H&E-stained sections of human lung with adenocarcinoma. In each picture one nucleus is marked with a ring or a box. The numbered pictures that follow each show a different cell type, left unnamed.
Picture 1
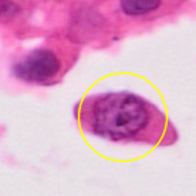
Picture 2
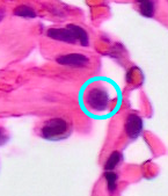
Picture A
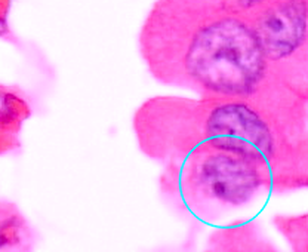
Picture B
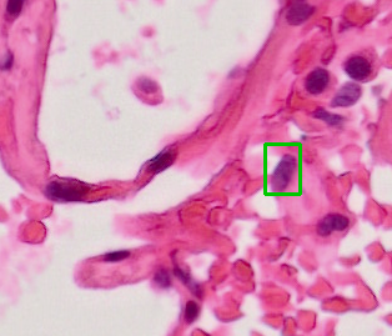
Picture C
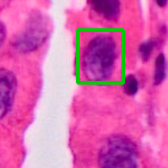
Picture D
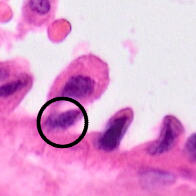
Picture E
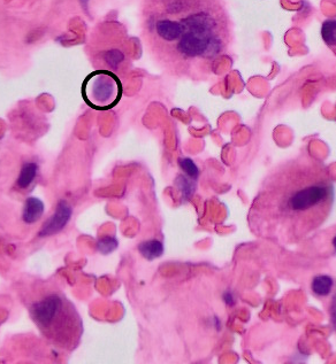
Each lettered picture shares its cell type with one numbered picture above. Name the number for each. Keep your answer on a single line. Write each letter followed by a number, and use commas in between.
A 1, B 2, C 1, D 1, E 2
